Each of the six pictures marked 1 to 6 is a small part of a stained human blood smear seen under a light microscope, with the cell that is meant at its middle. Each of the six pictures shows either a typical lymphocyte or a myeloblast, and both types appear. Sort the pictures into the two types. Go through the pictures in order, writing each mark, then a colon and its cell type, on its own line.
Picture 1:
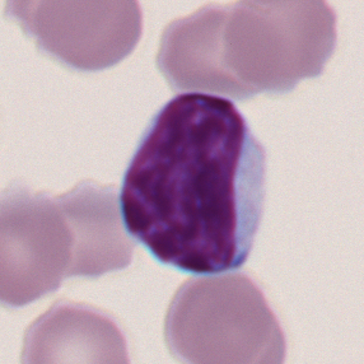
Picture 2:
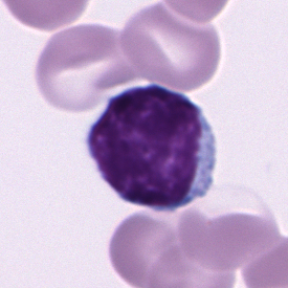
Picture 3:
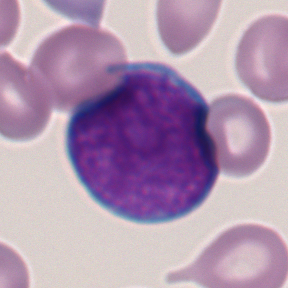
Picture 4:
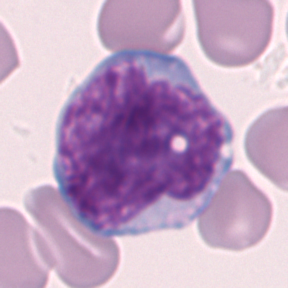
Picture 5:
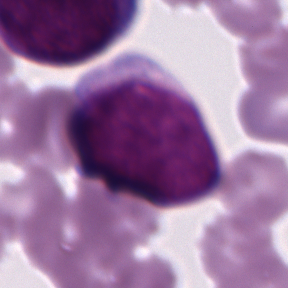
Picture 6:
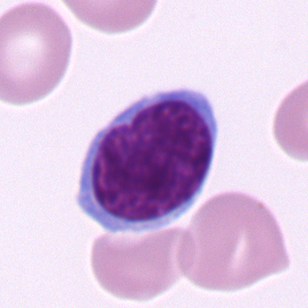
1: typical lymphocyte
2: typical lymphocyte
3: myeloblast
4: myeloblast
5: myeloblast
6: typical lymphocyte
